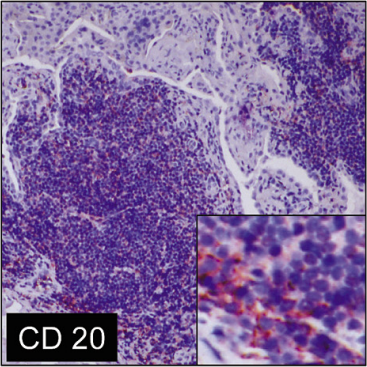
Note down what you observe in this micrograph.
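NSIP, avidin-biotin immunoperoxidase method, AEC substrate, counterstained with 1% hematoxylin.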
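This is lung tissue dominated by a large, dense lymphoid follicle made of closely packed small lymphocytes with round, dark blue nuclei and scant cytoplasm. Red stain outlines many of the cells within the aggregate, while the looser tissue at the edges holds fewer stained cells.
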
